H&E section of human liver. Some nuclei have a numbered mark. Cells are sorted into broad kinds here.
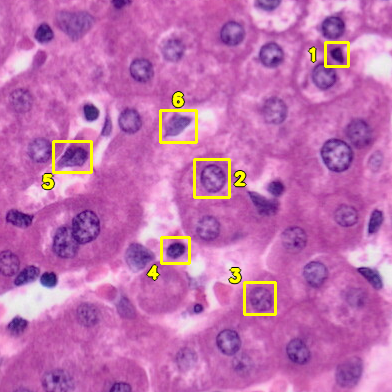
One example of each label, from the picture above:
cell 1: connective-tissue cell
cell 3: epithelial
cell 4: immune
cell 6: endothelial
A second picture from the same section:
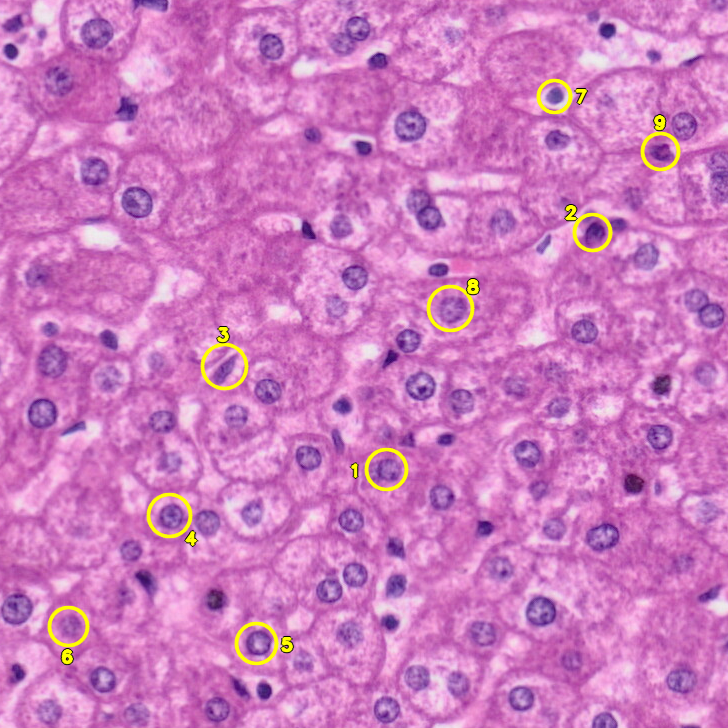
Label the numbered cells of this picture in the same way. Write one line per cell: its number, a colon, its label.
1: epithelial
2: immune
3: immune
4: epithelial
5: epithelial
6: epithelial
7: immune
8: epithelial
9: endothelial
